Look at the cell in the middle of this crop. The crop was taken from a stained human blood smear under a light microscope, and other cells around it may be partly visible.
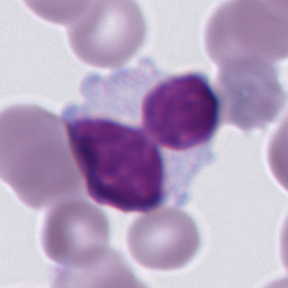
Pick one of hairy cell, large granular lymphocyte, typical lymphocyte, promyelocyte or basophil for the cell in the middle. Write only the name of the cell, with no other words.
large granular lymphocyte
